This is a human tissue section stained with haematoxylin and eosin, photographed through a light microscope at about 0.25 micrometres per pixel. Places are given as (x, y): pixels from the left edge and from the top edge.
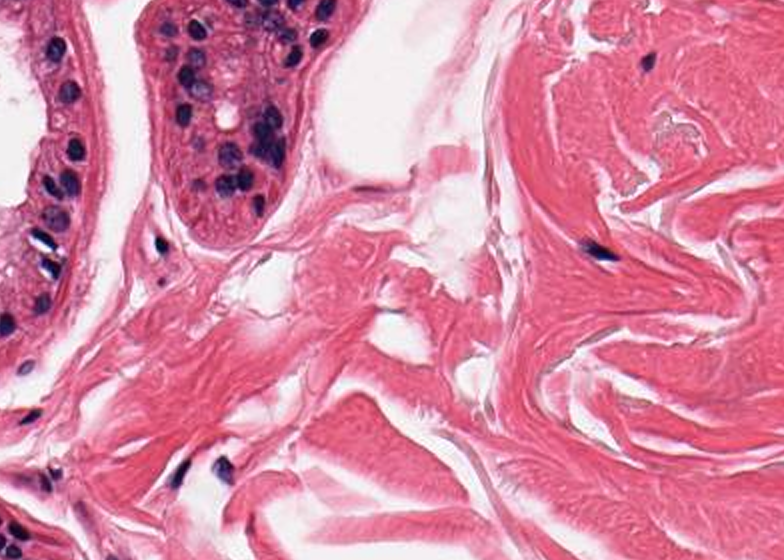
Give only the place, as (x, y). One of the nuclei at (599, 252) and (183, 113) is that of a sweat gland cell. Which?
(183, 113)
